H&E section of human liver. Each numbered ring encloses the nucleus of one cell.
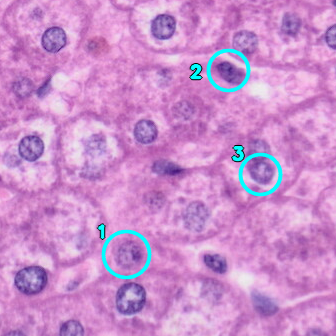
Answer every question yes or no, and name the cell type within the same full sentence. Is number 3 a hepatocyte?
Yes, the cell to which number 3 refers is a hepatocyte.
